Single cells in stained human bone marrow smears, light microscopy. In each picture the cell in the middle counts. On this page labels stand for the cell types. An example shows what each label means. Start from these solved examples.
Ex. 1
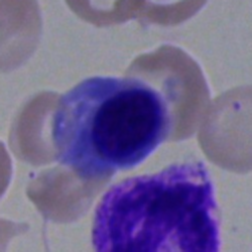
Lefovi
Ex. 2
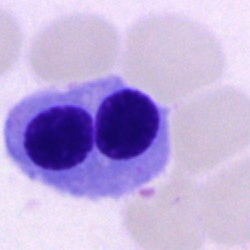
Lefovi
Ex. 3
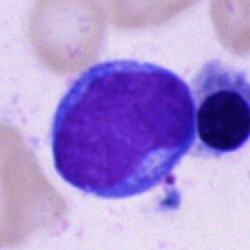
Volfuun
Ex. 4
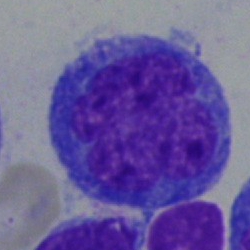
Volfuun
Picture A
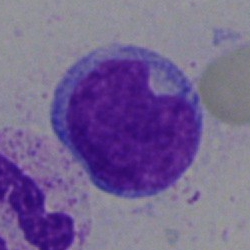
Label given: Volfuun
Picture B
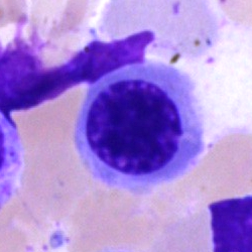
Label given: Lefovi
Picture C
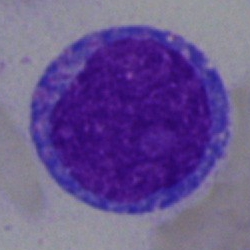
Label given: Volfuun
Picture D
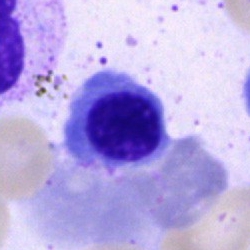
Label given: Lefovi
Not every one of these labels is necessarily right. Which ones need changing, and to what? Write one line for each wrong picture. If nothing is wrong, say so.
Nothing to fix; every label fits.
